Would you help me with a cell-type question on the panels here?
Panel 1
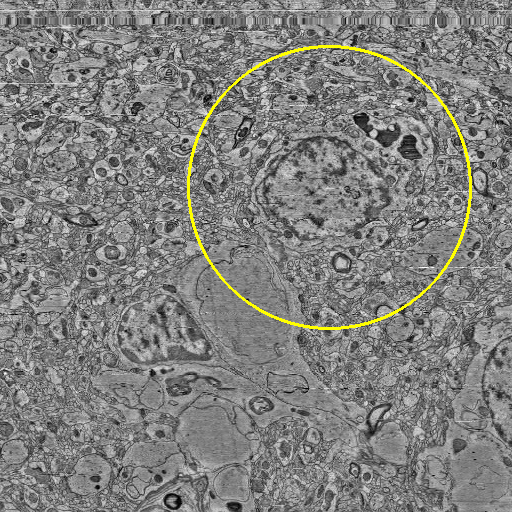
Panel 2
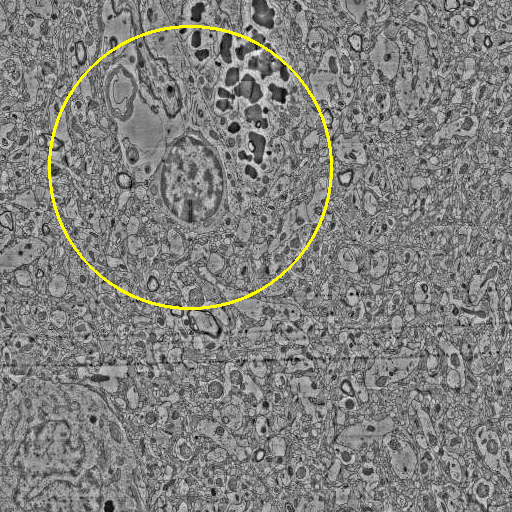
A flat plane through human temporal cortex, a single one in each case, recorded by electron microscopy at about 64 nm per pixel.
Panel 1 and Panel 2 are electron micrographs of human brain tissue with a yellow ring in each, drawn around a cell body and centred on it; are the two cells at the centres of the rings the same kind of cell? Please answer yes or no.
no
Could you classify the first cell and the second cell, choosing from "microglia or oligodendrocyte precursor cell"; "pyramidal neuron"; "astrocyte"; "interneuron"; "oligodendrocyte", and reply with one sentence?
The second cell is an oligodendrocyte, while the first is an interneuron.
